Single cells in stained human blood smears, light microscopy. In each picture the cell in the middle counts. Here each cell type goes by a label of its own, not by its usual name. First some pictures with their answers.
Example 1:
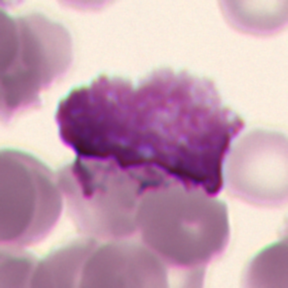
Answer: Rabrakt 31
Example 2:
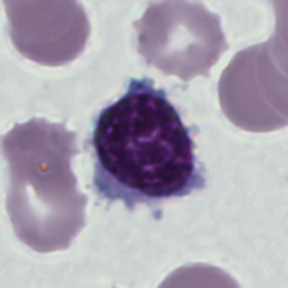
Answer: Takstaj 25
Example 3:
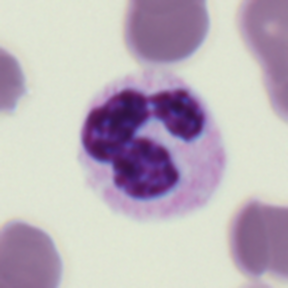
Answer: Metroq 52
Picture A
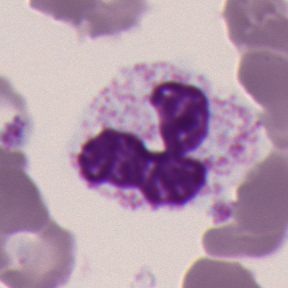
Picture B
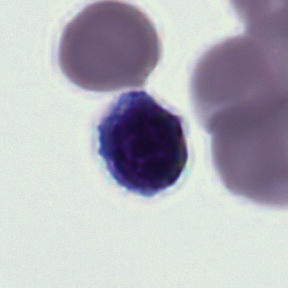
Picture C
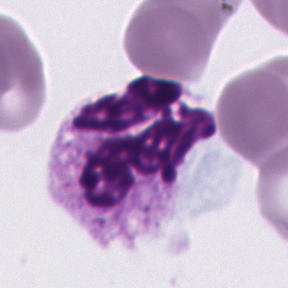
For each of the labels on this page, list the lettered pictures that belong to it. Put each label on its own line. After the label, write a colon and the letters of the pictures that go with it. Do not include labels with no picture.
Takstaj 25: B
Metroq 52: A, C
